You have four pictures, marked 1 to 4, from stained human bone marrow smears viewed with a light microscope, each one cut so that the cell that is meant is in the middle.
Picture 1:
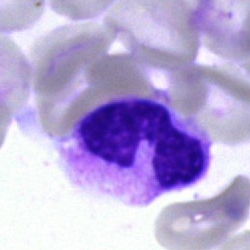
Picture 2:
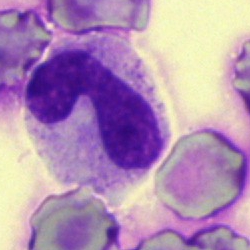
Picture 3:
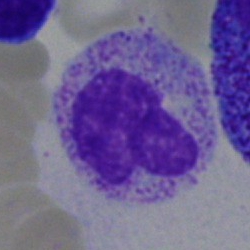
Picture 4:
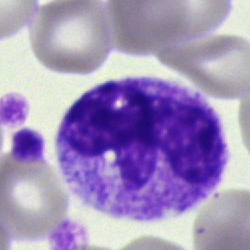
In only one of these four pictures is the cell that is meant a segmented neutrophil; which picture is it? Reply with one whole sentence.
It is picture 4 that shows the segmented neutrophil.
